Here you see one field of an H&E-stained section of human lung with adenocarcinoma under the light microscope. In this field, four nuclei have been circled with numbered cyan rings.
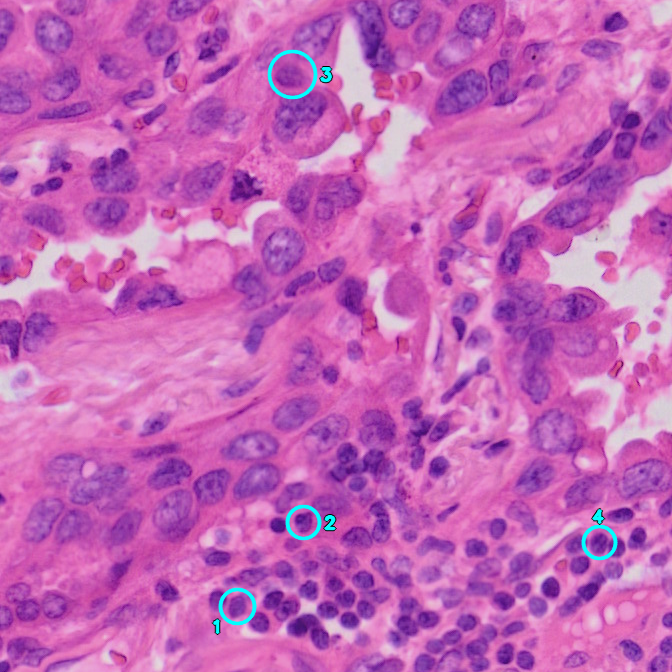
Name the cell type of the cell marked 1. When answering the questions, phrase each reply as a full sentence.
The numbered cell 1 in this field is a lymphocyte.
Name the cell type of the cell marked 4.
Regarding cell 4, this one is a lymphocyte.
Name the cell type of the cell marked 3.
As for number 3, that cell is a carcinoma cell.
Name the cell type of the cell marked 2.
The expected answer is that cell 2 is a lymphocyte.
